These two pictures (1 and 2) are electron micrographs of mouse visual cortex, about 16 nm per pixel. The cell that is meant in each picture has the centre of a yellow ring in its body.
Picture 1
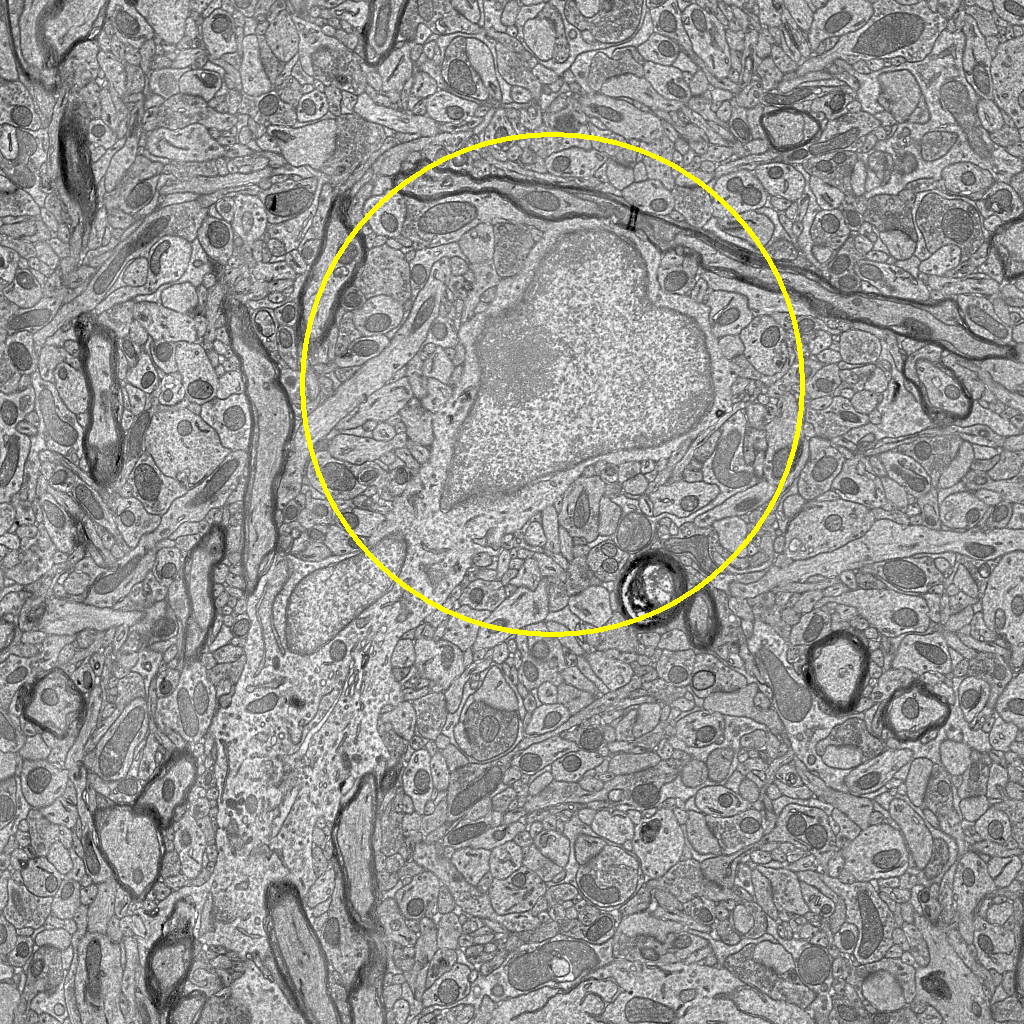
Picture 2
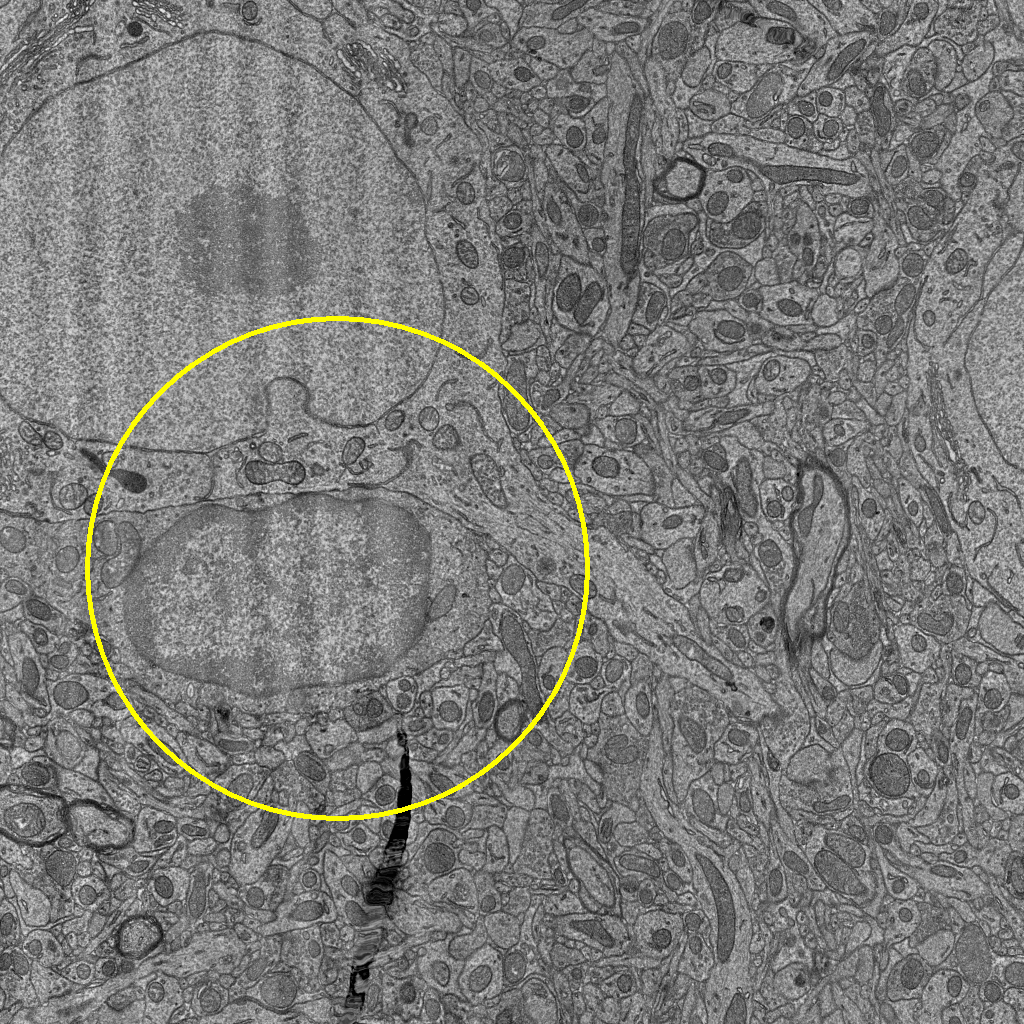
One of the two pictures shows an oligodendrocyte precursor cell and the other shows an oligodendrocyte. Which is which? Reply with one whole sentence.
Picture 1 shows an oligodendrocyte precursor cell and picture 2 shows an oligodendrocyte.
